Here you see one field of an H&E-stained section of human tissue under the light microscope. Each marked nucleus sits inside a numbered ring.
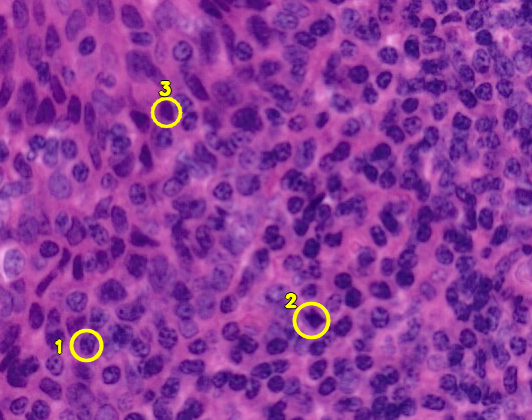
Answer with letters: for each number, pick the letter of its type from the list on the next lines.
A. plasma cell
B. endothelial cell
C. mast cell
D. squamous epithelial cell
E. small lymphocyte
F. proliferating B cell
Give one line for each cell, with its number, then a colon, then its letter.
1: A
2: A
3: D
